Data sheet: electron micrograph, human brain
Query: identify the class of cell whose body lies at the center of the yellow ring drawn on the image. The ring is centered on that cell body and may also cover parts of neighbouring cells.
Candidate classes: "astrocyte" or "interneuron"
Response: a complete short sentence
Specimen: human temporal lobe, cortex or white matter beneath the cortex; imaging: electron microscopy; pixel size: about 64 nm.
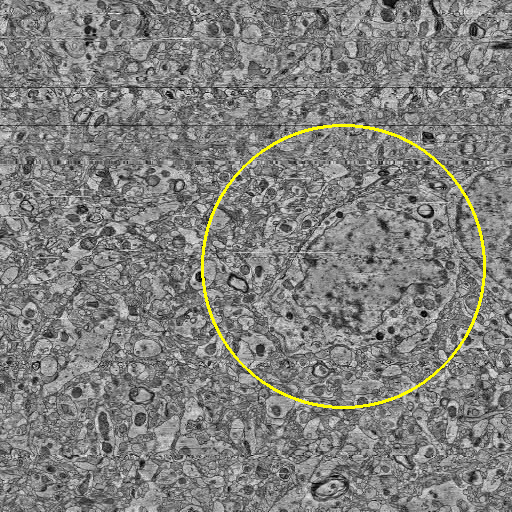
At the center of the ring lies an interneuron.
